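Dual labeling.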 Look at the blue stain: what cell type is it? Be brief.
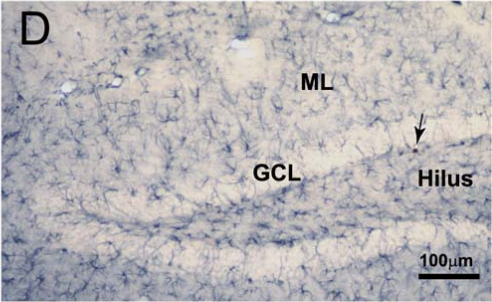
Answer: glial cells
